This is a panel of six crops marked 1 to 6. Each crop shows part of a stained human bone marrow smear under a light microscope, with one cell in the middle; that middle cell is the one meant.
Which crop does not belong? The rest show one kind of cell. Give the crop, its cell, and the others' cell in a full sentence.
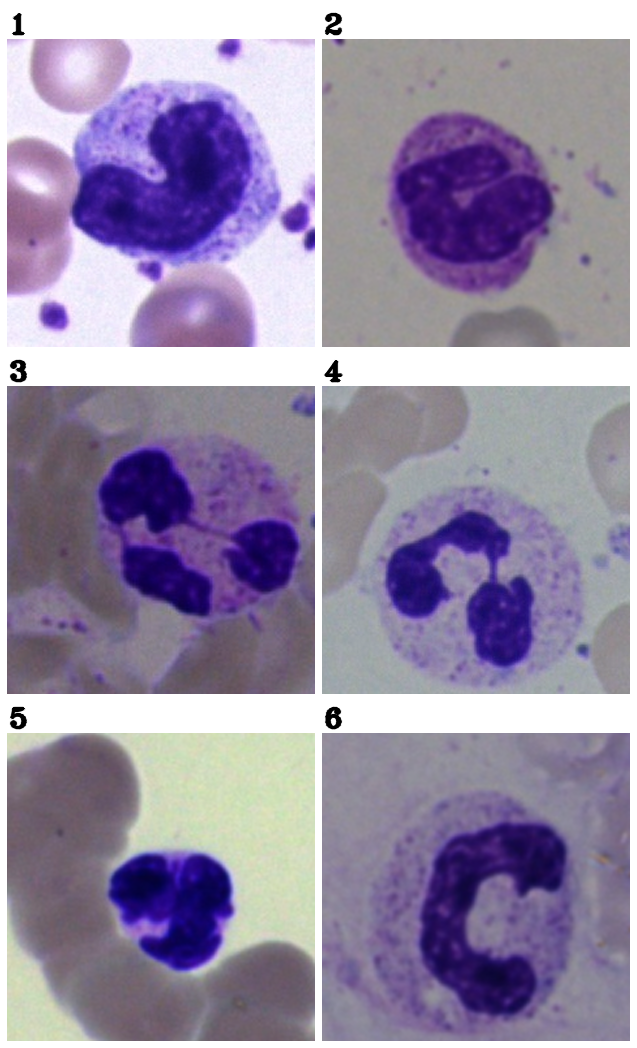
Crop 1 stands apart from the rest as a band neutrophil, the others all being segmented neutrophils.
